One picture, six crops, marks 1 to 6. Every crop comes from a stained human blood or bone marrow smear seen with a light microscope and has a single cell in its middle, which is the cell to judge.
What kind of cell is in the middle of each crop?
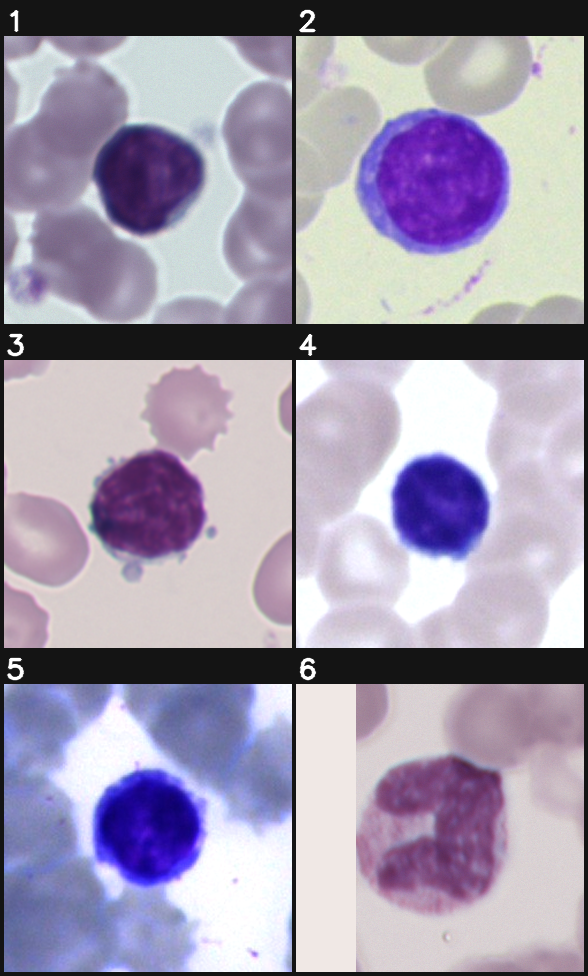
1: lymphocyte
2: lymphocyte
3: lymphocyte
4: lymphocyte
5: lymphocyte
6: band neutrophil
